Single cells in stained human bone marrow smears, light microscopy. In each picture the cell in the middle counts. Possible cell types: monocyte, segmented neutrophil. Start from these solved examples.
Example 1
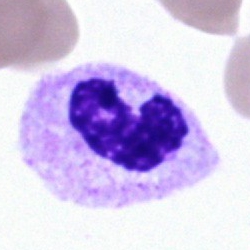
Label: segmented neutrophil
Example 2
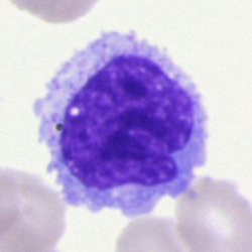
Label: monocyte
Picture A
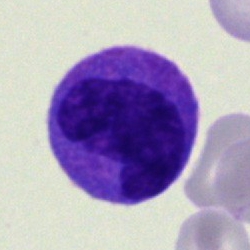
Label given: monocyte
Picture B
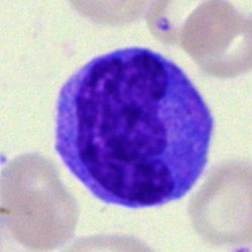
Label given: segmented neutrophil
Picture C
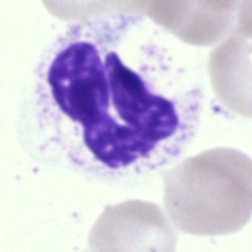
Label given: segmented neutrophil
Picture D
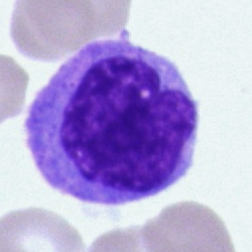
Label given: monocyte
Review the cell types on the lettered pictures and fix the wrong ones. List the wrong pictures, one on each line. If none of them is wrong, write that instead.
Wrong: B (segmented neutrophil); correct: monocyte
